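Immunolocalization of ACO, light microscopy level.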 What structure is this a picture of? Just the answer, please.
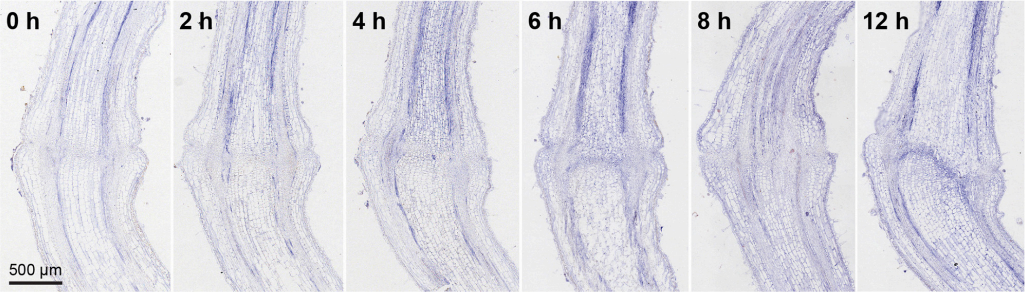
Abscission zone.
